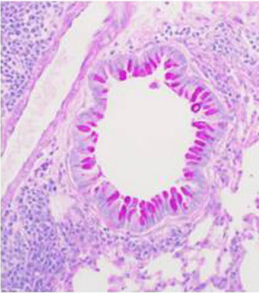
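An airway of the lung shows goblet cell hyperplasia, with many epithelial cells filled with bright magenta material. These goblet cells sit side by side in the columnar lining all around the lumen, their magenta contents facing the airway space. The rest of the tissue stains pale purple, and clusters of cells with dark nuclei lie in the tissue next to the airway.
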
